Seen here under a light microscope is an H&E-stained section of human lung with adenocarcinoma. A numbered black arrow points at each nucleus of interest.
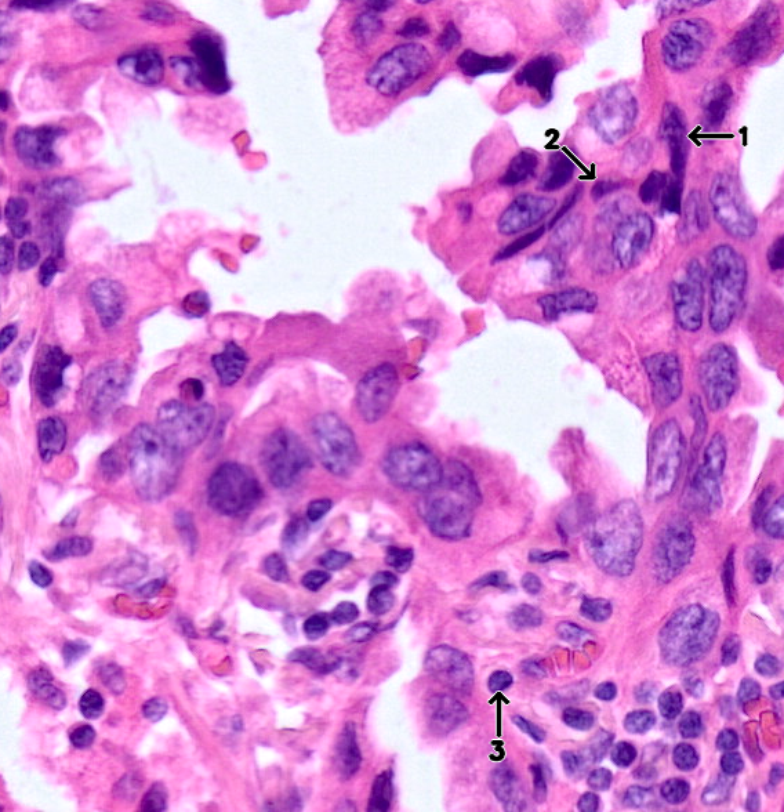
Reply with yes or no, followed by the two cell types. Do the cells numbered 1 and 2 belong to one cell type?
Yes, the two cells marked 1 and 2 are both carcinoma cells.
